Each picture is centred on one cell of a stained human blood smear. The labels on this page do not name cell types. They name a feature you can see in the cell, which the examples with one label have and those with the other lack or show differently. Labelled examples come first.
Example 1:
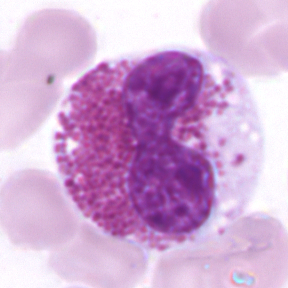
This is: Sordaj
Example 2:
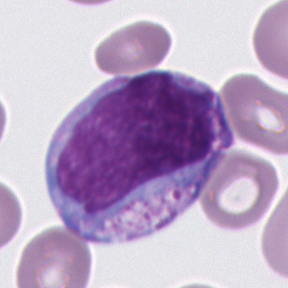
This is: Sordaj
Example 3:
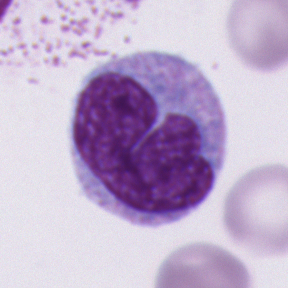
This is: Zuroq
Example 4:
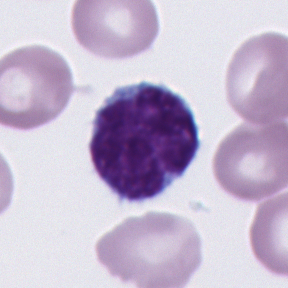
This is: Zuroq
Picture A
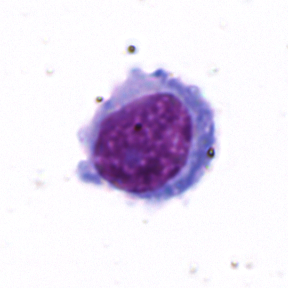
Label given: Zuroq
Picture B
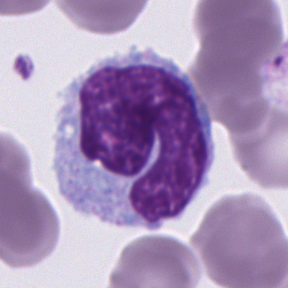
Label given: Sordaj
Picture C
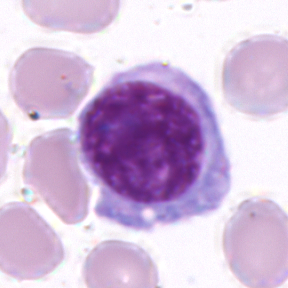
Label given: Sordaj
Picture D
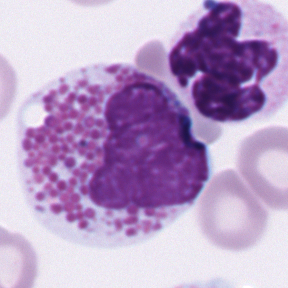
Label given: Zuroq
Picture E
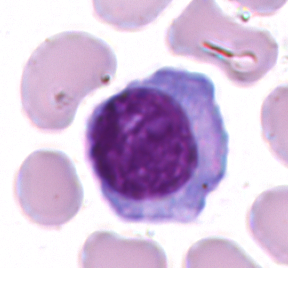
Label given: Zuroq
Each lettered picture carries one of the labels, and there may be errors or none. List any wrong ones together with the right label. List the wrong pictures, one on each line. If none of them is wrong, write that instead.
D: not Zuroq but Sordaj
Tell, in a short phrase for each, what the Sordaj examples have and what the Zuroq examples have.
Sordaj: vacuoles present; Zuroq: no vacuoles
